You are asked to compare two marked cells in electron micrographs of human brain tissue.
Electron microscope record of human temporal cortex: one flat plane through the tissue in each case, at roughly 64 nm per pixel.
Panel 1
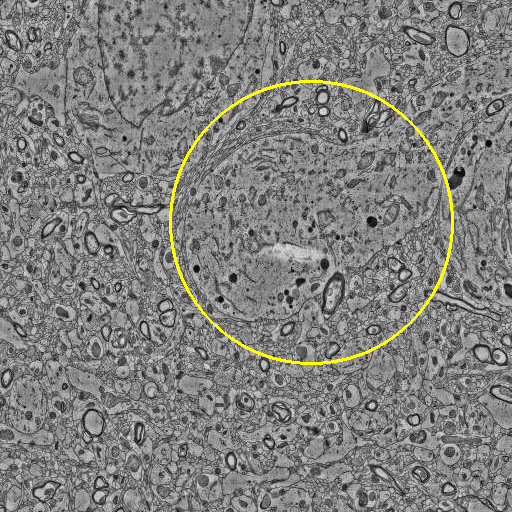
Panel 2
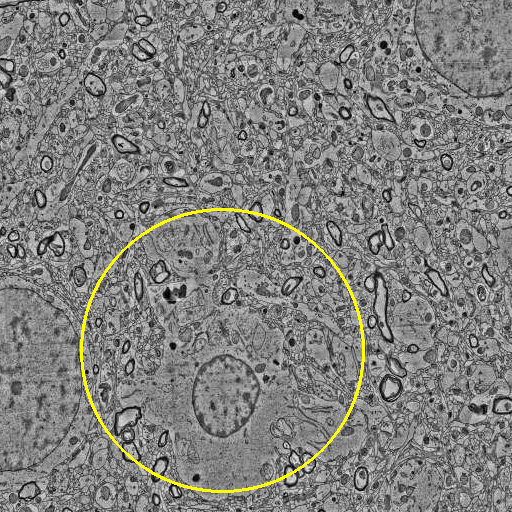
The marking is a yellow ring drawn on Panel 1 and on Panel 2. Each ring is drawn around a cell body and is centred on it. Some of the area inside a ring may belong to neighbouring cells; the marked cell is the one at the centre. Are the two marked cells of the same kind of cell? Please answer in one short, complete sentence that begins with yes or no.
No, the two marked cells are of two kinds.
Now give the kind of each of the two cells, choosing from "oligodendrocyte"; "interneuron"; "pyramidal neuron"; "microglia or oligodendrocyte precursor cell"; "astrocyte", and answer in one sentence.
The cell in the first picture is a pyramidal neuron, and the cell in the second is an astrocyte.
